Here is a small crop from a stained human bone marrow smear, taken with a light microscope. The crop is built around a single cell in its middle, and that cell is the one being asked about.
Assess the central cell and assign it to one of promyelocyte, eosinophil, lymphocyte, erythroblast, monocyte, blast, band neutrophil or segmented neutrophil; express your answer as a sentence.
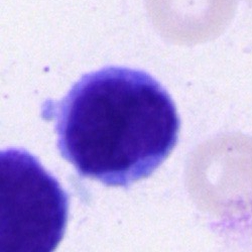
The centered cell in this crop is a monocyte.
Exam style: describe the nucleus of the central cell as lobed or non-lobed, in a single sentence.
There is one compact nucleus, and its shape is round, oval or kidney-like.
